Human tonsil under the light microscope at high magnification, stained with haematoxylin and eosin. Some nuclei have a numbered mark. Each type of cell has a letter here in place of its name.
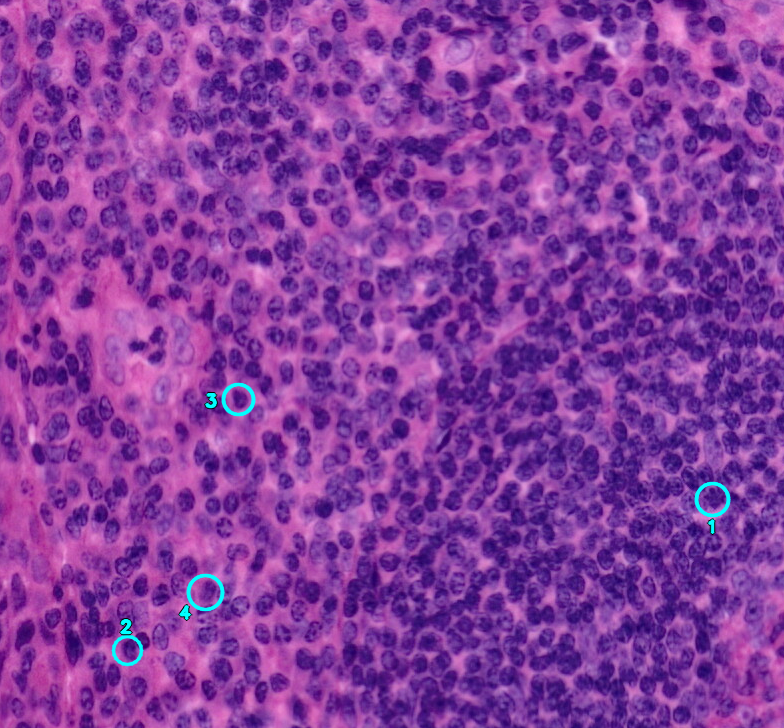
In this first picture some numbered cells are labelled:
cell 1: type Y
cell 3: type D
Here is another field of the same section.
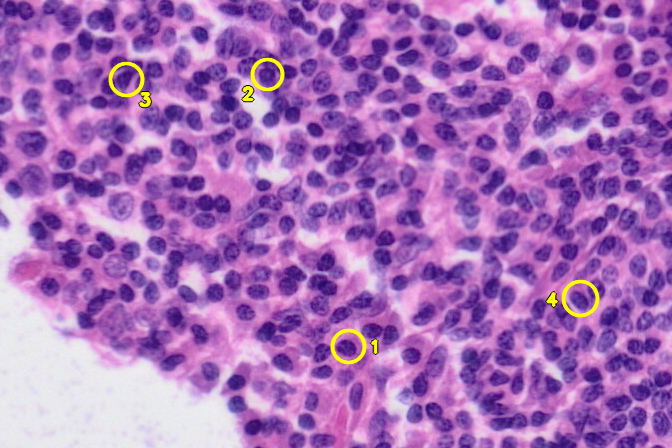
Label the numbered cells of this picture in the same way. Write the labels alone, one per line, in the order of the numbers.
type D
type Y
type Y
type Y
